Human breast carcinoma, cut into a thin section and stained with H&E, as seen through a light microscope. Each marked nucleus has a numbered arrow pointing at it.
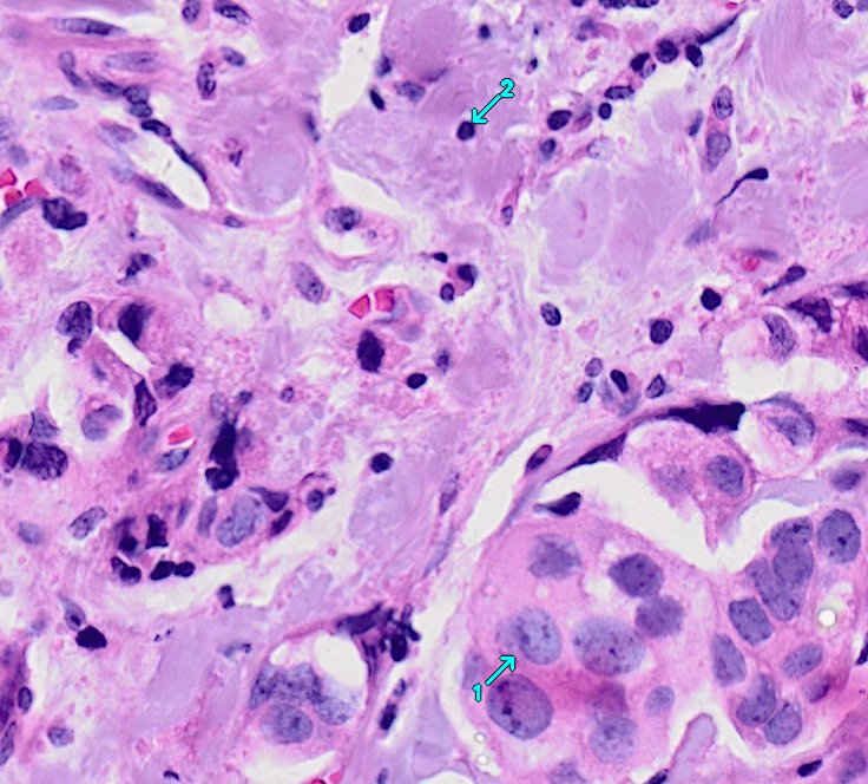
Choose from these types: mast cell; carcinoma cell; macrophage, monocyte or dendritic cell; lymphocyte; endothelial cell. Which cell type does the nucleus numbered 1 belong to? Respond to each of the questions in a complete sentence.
Belonging to a carcinoma cell is the nucleus that carries the number 1.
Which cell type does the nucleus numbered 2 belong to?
The marked nucleus 2 is that of a lymphocyte.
